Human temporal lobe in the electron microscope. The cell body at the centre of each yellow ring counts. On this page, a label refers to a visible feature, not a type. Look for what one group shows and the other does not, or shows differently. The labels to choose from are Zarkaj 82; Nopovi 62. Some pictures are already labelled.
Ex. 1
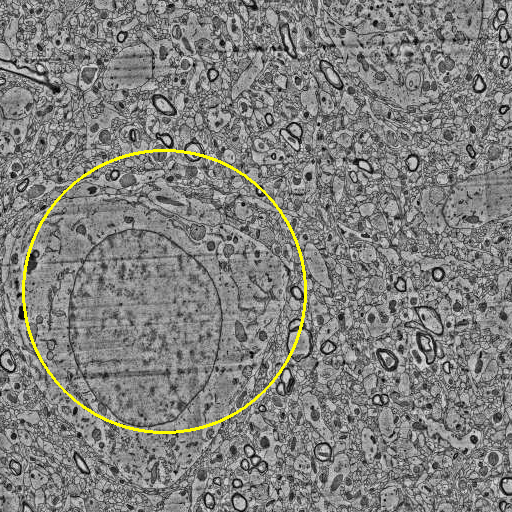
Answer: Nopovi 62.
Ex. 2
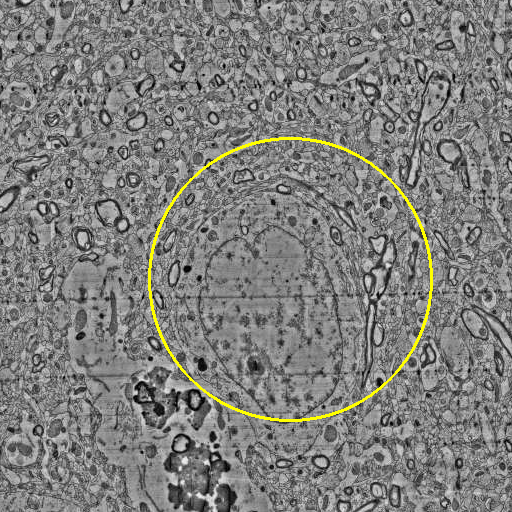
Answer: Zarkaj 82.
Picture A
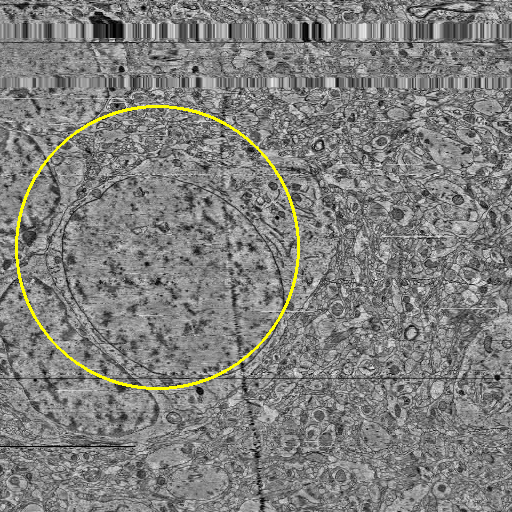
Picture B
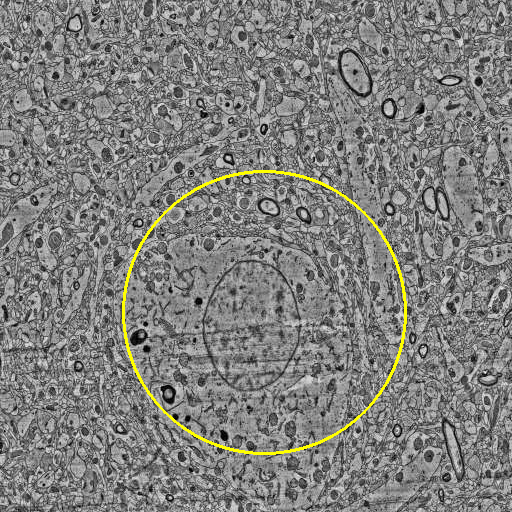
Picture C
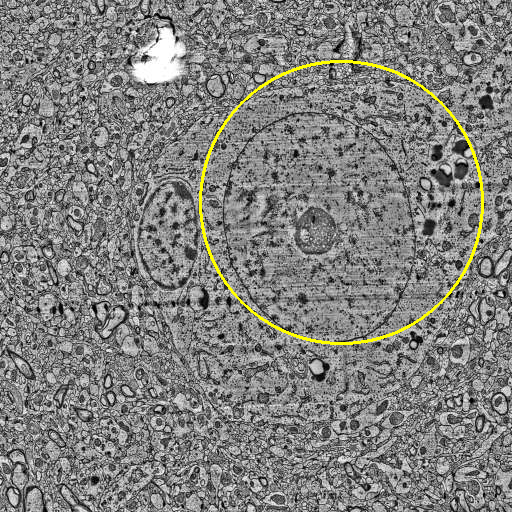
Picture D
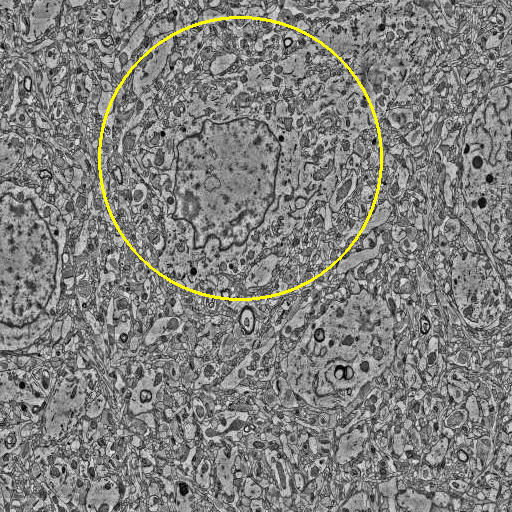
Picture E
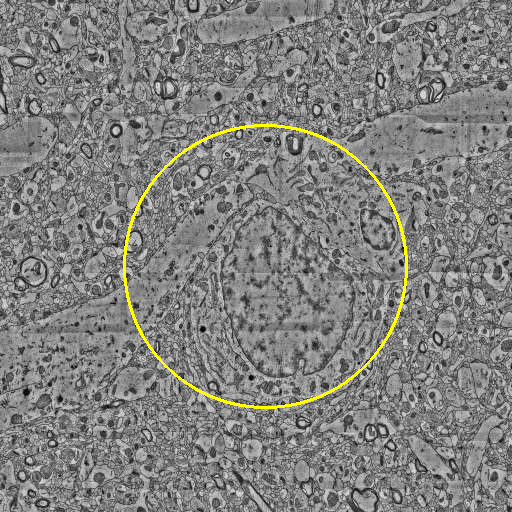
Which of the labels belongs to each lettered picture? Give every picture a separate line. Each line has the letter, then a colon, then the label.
A: Nopovi 62.
B: Nopovi 62.
C: Nopovi 62.
D: Zarkaj 82.
E: Nopovi 62.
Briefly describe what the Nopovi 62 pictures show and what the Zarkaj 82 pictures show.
Seen in Nopovi 62: smooth nuclear envelopes without deep folds; seen in Zarkaj 82: deeply folded or indented nuclear envelopes.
